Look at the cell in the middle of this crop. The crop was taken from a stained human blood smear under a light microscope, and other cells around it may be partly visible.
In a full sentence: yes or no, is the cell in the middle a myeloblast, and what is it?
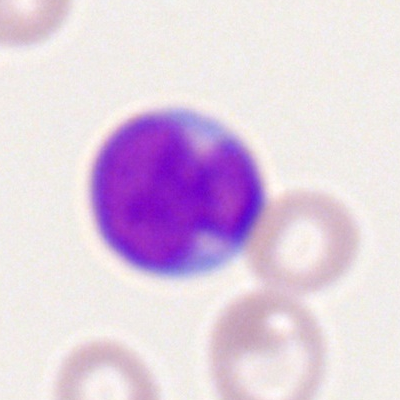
Yes, the cell that occupies the centre is a myeloblast.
